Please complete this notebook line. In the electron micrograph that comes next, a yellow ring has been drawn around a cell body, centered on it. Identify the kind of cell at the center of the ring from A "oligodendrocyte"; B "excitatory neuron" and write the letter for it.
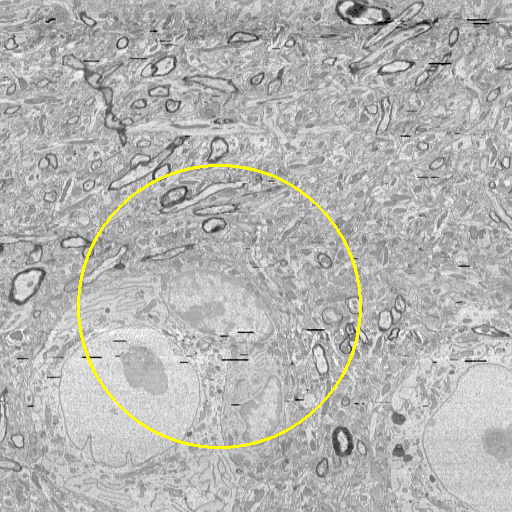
A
